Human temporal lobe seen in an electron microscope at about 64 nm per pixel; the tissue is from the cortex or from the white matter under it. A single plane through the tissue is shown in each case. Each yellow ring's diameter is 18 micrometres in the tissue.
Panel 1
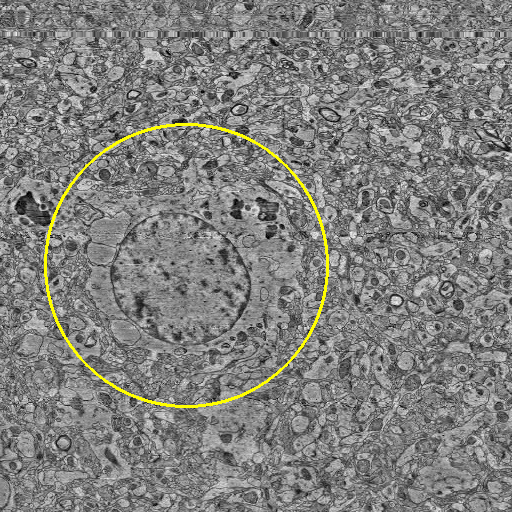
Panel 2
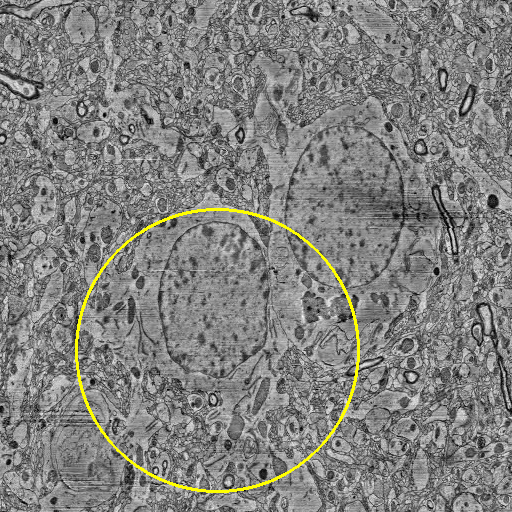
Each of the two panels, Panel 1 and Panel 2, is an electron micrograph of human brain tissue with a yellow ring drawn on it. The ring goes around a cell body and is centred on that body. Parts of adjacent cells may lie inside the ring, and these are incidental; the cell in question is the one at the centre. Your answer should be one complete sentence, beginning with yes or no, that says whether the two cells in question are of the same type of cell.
Yes, the two cells are of the same type.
